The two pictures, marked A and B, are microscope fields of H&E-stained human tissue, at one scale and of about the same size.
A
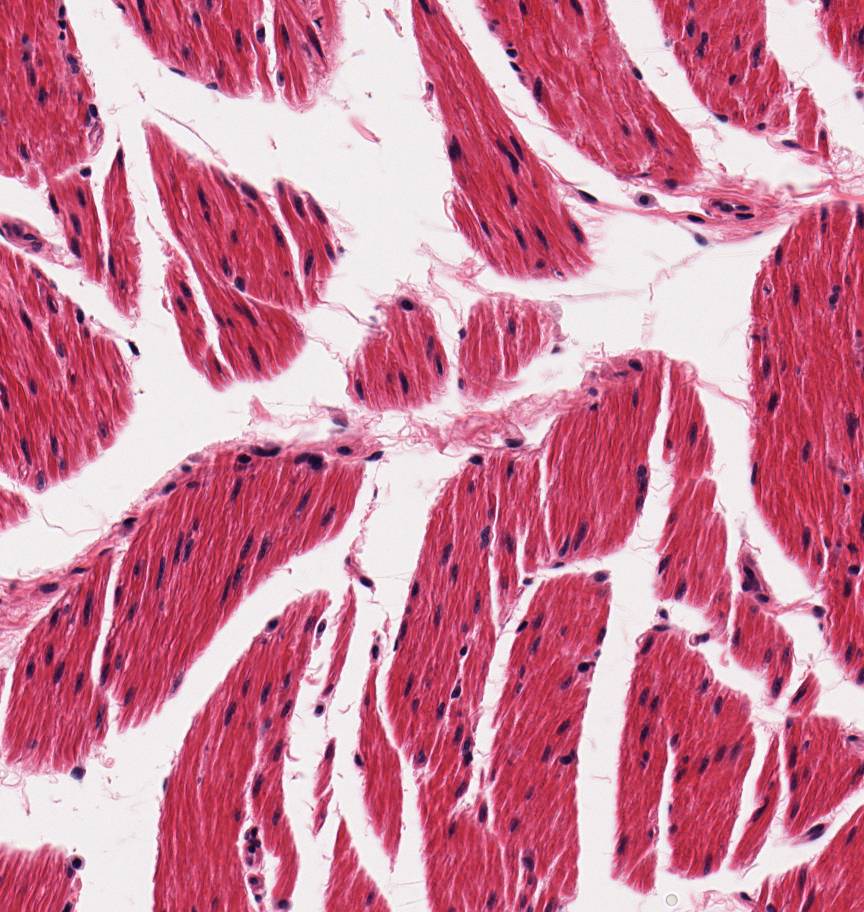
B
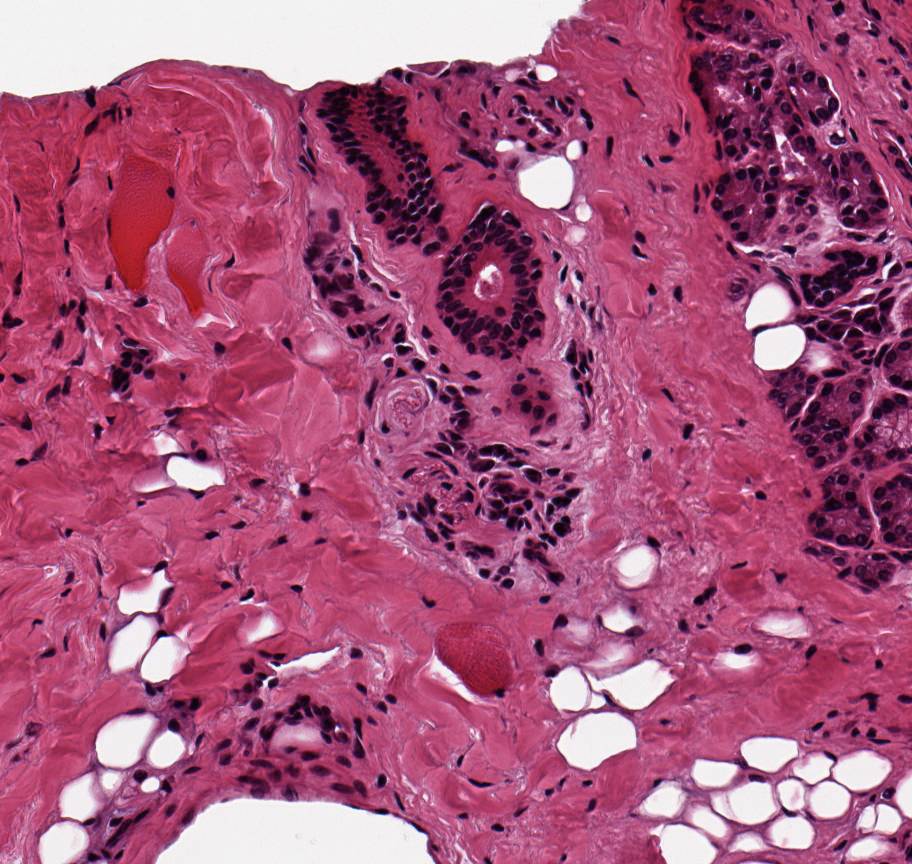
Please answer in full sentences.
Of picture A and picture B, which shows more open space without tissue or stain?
Unstained space takes up more of picture A than of picture B.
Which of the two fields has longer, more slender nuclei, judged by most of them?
The nuclei are more elongated in picture A.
